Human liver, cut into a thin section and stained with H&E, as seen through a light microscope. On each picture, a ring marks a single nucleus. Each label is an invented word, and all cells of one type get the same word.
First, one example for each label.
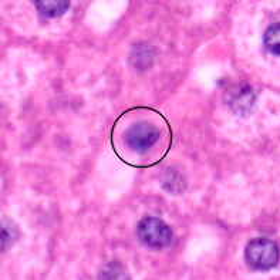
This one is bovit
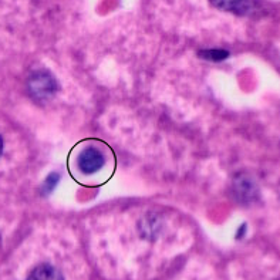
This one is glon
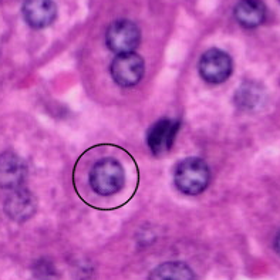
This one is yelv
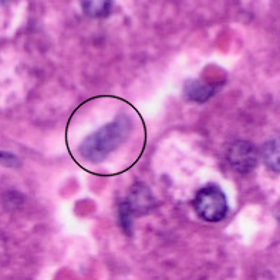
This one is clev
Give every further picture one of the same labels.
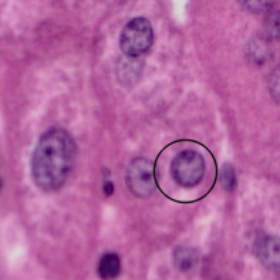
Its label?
yelv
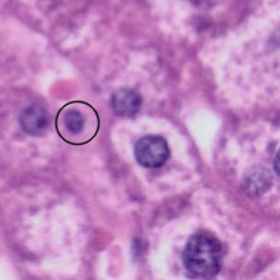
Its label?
glon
